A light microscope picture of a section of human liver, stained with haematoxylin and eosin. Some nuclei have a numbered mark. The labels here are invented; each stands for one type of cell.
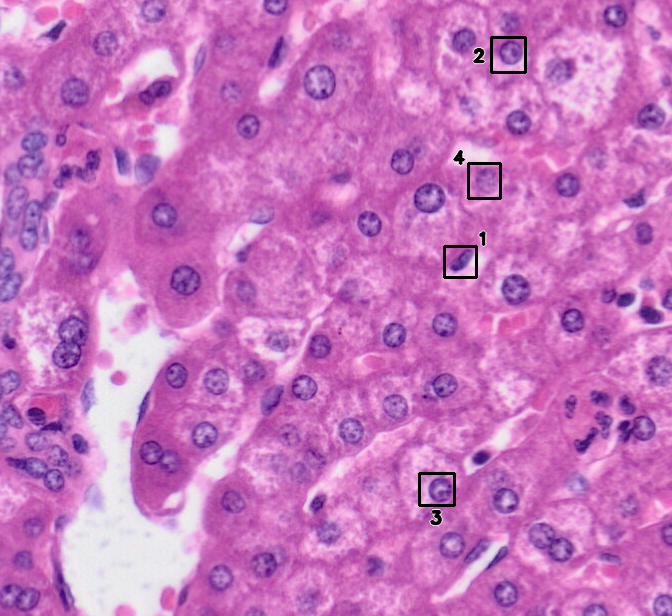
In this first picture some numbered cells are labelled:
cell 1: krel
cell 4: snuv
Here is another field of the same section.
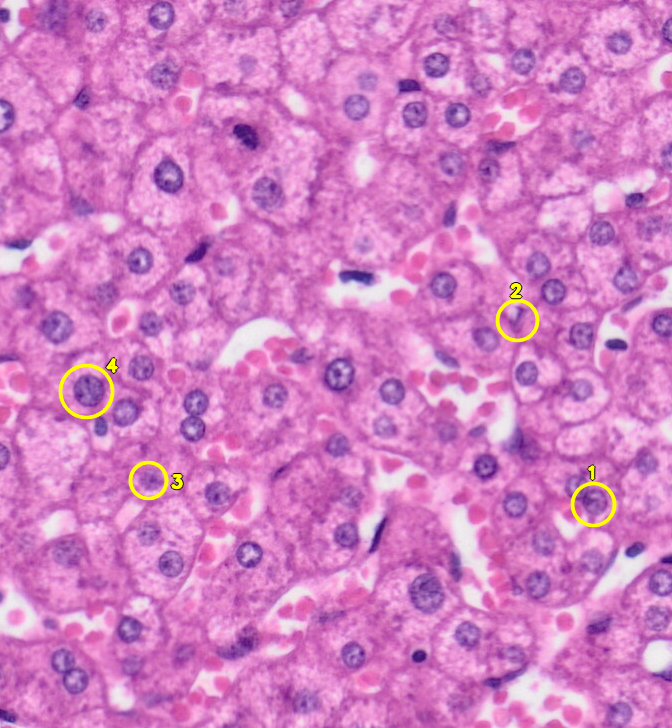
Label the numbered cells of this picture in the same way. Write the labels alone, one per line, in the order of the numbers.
snuv
krel
snuv
snuv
